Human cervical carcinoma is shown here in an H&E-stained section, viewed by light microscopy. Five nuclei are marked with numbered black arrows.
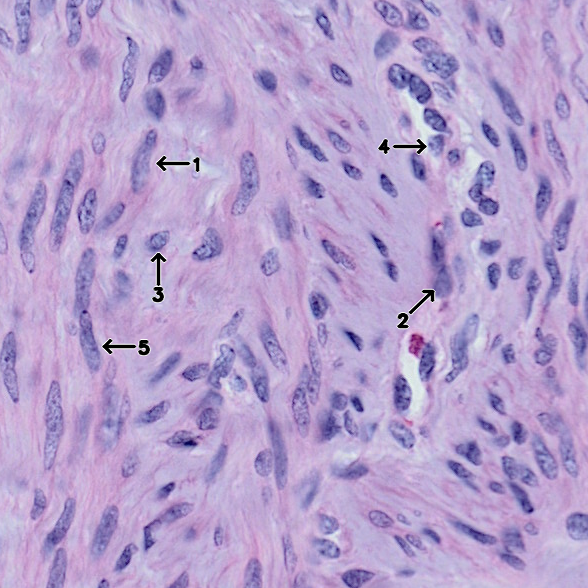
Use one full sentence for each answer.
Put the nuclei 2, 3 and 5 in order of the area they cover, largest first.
By area, largest first, they run 5, 2, 3.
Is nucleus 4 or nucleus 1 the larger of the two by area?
It is nucleus 1, which covers about 2.5 times the area of nucleus 4.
